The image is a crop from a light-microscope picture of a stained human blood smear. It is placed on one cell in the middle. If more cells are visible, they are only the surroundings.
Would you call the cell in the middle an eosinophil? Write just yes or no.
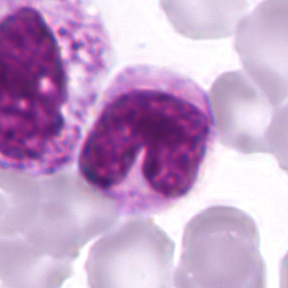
no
